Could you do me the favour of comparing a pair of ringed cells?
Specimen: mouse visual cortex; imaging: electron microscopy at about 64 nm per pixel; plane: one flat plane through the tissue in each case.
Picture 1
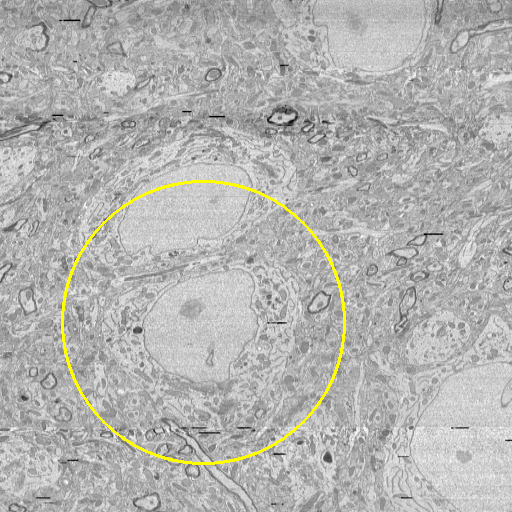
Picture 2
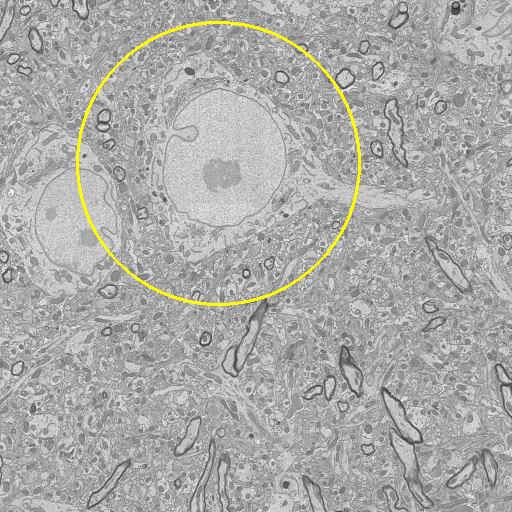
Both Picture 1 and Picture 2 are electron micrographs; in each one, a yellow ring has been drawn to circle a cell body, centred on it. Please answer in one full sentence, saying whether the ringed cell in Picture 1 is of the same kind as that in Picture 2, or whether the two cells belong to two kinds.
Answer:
The ringed cells in Picture 1 and Picture 2 belong to two kinds.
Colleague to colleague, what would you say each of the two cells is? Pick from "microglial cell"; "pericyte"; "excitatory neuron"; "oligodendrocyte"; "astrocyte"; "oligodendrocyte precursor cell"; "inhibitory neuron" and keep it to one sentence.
The cell in the first picture is an inhibitory neuron; the second picture's cell is an excitatory neuron.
